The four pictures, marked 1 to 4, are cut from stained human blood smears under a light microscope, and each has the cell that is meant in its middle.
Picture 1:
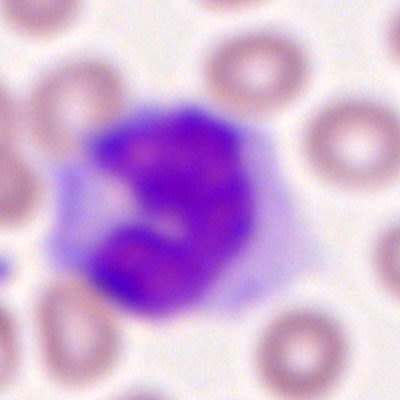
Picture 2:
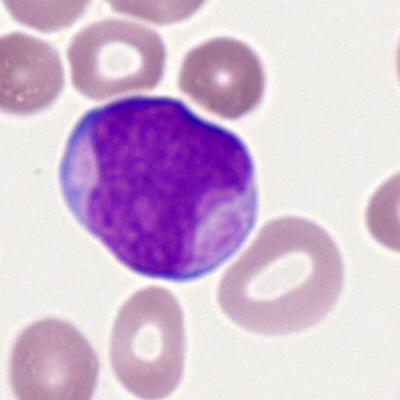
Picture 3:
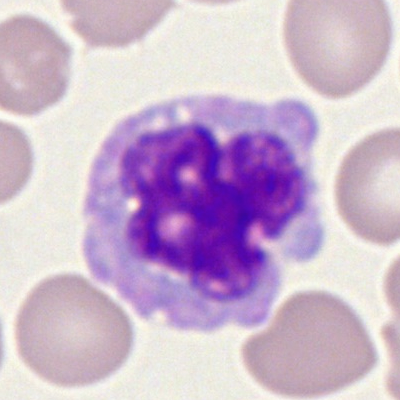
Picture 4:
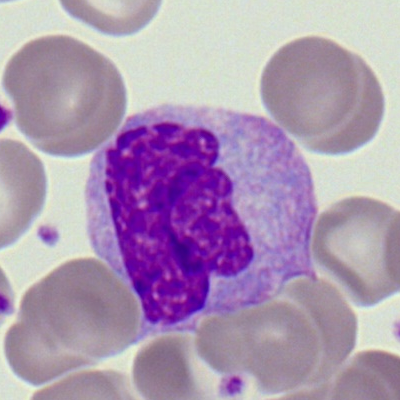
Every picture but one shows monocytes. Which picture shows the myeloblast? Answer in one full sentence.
It is picture 2 that shows the myeloblast.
